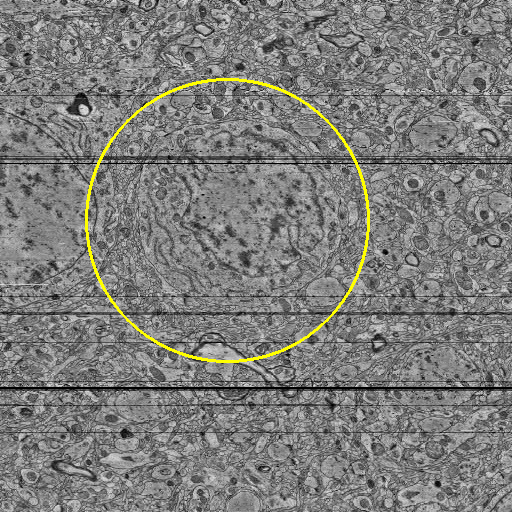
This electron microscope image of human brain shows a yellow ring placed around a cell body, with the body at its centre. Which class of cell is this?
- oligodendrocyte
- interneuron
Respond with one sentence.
The cell body at the ring's centre is an interneuron.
